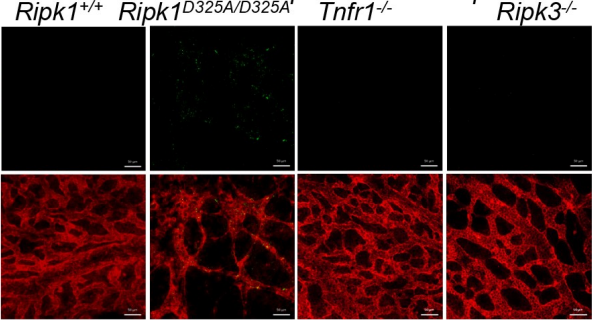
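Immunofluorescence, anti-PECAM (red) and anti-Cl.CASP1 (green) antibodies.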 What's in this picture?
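In some images the network is dense and fine-meshed, while in others the channels look wider and the meshes more irregular. The green channel is dark in most images. In one set, scattered small green dots are distributed across the tissue, and some of them coincide with the red network, where they appear yellow in the merged view. Single cells cannot be told apart clearly at this scale; the tissue architecture of the network is what can be seen.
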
